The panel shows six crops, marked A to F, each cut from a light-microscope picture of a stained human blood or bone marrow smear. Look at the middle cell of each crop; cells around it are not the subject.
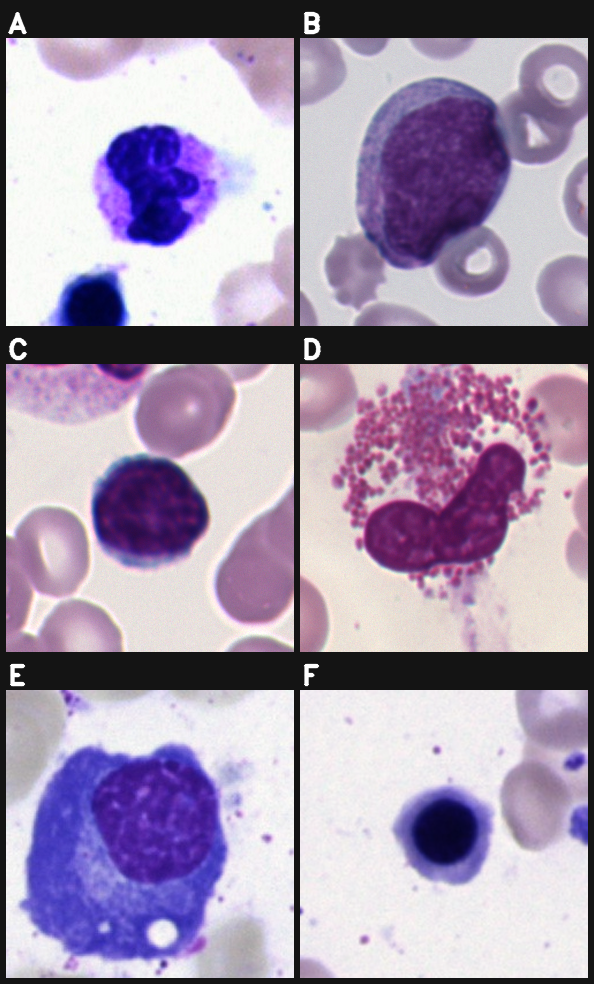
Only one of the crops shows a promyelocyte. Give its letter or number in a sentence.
Of the crops given, a promyelocyte is found in crop B.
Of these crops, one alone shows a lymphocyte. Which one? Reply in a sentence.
Of the crops given, a lymphocyte is found in crop C.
